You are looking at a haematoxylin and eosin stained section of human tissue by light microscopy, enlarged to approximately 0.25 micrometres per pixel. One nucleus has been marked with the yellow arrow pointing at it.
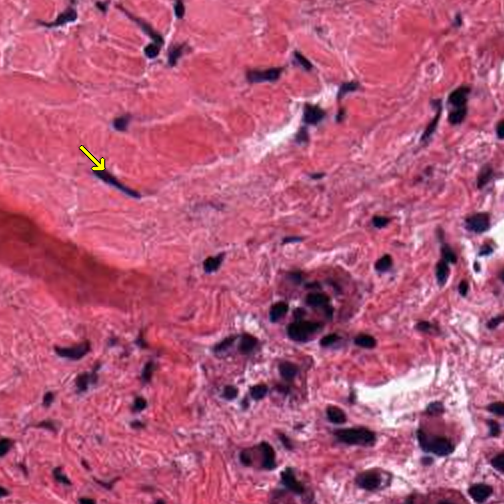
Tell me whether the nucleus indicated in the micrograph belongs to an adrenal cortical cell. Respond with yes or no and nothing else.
no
